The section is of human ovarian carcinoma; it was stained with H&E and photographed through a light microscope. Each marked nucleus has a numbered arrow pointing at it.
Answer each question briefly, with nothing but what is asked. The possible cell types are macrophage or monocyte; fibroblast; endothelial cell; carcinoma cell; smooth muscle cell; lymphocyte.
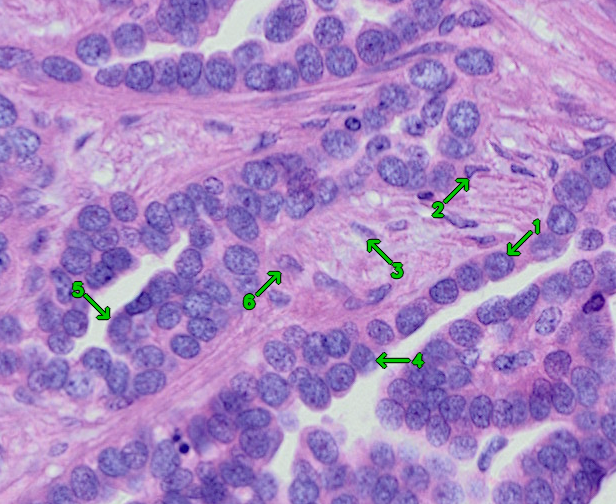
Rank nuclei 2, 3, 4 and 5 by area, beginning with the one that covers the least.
2, 3, 5, 4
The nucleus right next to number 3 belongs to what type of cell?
fibroblast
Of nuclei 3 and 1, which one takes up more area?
1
